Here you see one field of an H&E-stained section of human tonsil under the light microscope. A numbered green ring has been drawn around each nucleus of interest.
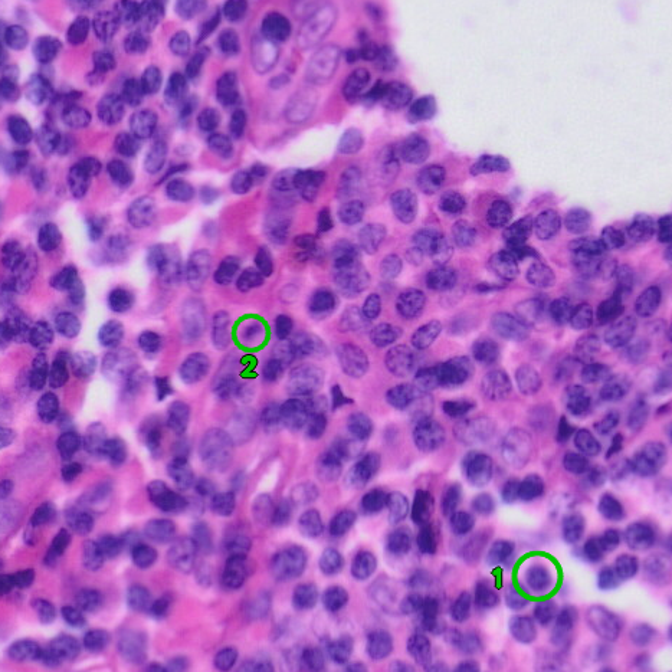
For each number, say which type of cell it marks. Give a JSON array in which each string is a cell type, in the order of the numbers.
["small lymphocyte", "endothelial cell"]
